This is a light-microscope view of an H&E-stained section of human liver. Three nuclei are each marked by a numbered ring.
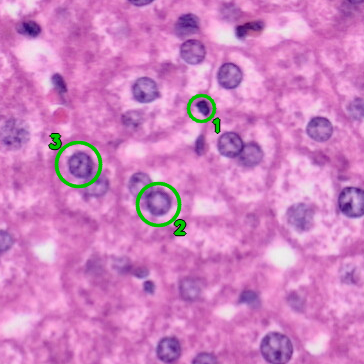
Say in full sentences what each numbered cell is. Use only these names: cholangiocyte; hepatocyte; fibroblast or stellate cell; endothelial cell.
Cell 1 is a fibroblast or stellate cell. Cells 2 and 3 are hepatocytes.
